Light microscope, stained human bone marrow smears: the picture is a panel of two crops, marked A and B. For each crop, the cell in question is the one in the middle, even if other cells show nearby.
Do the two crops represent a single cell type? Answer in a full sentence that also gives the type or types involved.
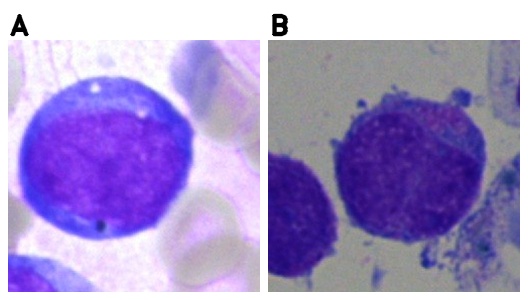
Yes, what both crops show is blasts.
